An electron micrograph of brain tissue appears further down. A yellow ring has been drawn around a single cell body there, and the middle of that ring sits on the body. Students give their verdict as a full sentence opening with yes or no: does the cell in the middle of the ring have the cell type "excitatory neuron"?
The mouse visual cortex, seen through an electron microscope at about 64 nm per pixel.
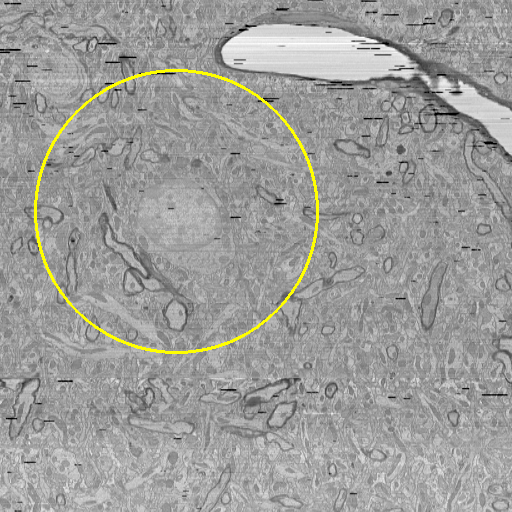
No, in this picture the cell sitting at the middle of the ring has a different cell type.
